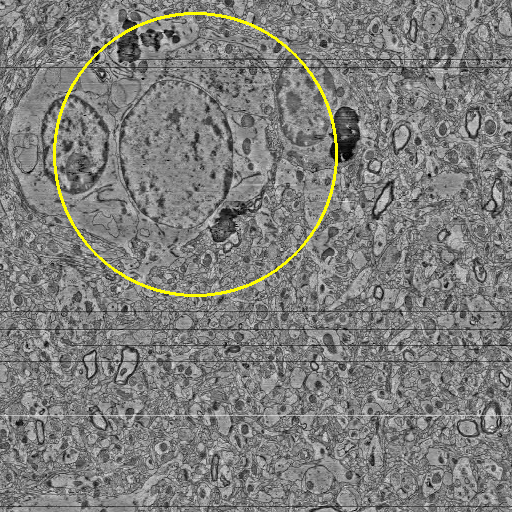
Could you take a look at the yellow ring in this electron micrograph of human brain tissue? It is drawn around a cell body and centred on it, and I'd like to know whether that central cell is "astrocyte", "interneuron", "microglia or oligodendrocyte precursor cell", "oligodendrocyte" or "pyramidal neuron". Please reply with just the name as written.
astrocyte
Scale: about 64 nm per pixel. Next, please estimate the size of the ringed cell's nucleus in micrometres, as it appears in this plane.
Roughly 10 by 7 micrometres in this plane, for the nucleus of the ringed cell.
